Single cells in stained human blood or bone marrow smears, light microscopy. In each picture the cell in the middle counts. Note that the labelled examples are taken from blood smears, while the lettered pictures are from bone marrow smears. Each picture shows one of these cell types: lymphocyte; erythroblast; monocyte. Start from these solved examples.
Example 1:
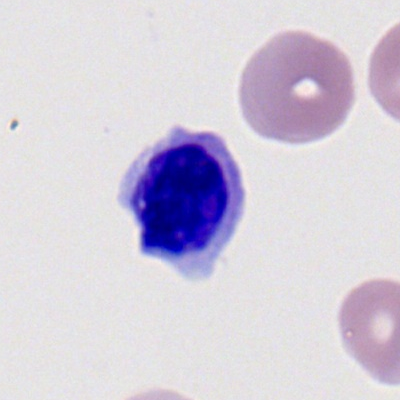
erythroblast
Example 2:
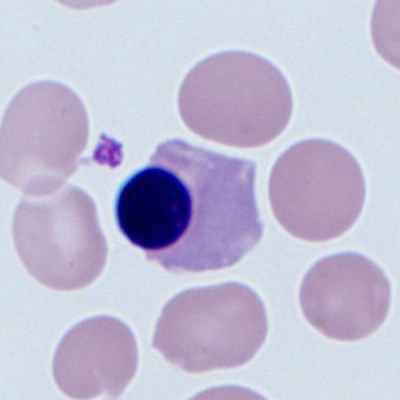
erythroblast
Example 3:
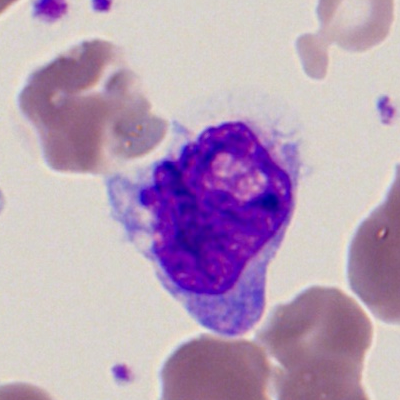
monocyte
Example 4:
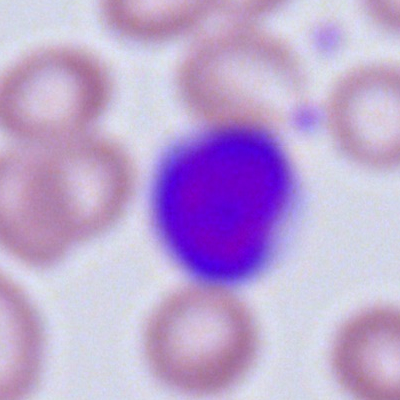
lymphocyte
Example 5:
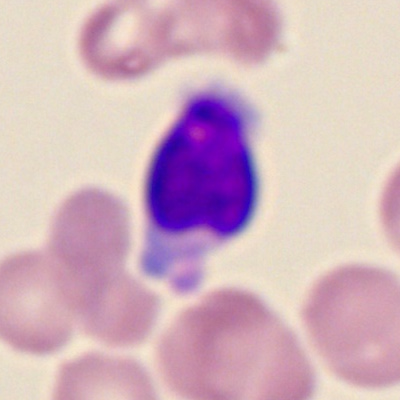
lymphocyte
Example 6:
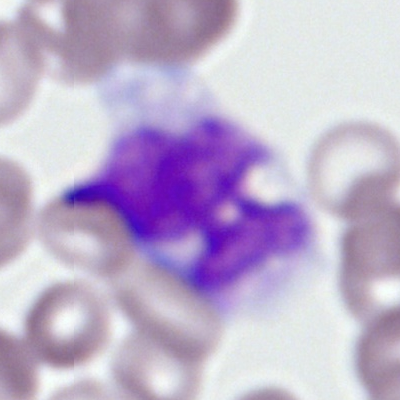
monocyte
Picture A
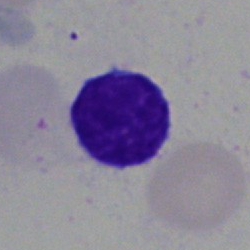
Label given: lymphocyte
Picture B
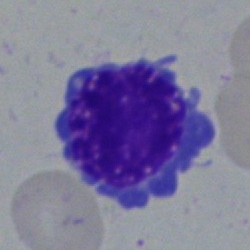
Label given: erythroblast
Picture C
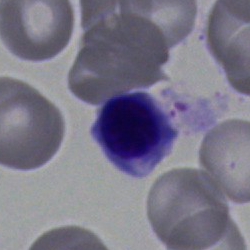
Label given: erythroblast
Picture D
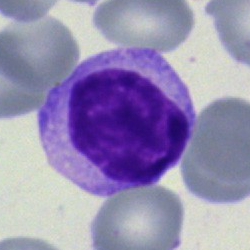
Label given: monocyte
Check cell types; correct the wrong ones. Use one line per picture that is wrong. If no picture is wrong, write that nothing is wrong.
All correct.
